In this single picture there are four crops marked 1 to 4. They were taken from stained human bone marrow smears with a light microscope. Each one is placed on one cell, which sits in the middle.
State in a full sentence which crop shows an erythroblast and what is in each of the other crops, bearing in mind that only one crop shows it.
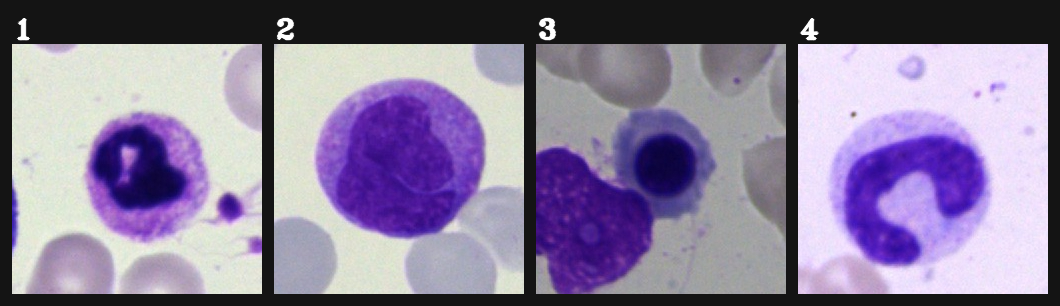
Seen in crop 3 is an erythroblast, while crop 1 is a segmented neutrophil, crop 2 is a monocyte and crop 4 is a band neutrophil.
